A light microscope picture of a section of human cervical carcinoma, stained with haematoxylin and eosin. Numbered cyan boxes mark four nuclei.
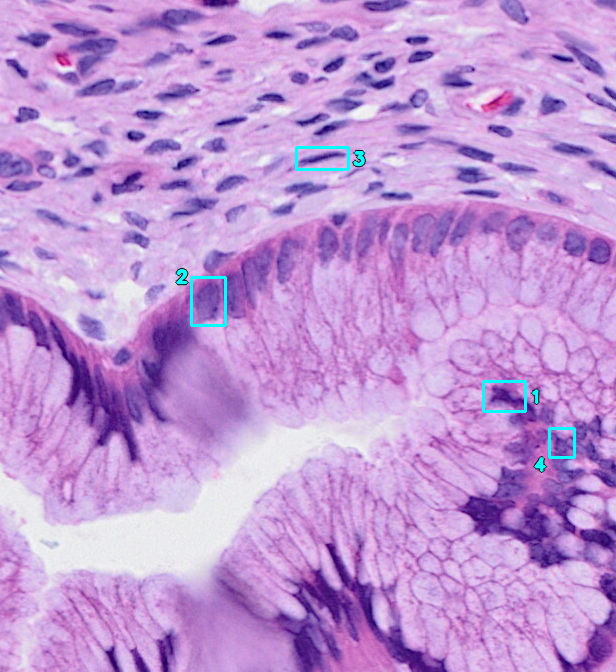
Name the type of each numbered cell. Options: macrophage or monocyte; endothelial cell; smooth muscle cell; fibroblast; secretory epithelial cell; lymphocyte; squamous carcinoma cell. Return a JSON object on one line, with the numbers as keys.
{"1": "secretory epithelial cell", "2": "secretory epithelial cell", "3": "fibroblast", "4": "secretory epithelial cell"}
